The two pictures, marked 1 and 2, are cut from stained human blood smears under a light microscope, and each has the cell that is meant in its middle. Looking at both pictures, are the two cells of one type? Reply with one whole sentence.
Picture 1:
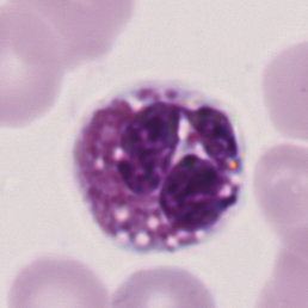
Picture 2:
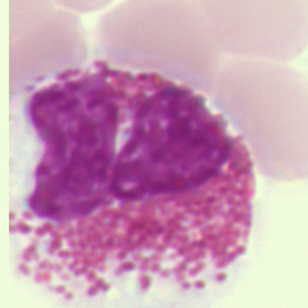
Yes, the two pictures both show eosinophils.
